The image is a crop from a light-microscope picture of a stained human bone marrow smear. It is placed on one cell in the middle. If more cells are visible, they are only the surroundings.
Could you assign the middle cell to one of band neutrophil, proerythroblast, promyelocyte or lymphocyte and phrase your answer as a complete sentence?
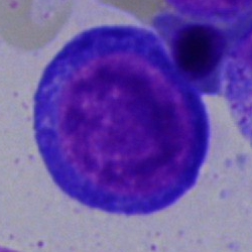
The cell in the middle of the field of view is a proerythroblast.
